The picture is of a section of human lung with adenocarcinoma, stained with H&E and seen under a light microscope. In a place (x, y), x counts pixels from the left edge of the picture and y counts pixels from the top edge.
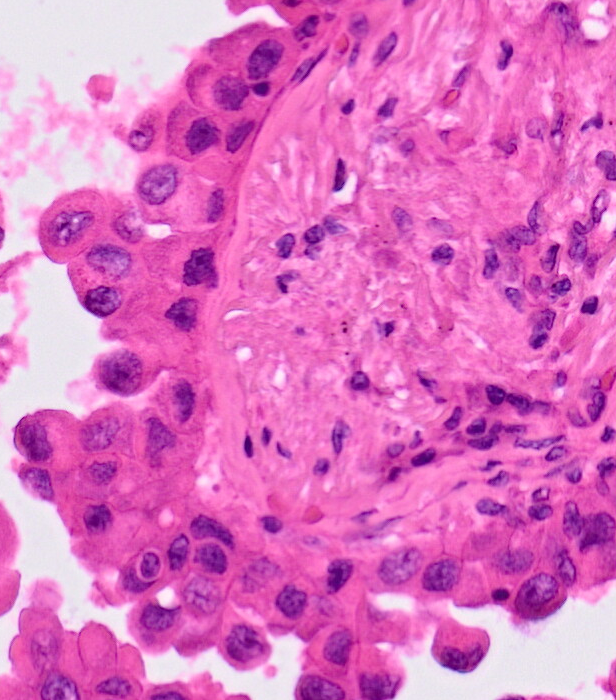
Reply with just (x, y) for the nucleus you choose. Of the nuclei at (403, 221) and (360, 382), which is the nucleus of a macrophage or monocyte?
(403, 221)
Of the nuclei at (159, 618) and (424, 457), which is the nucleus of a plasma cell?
(424, 457)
